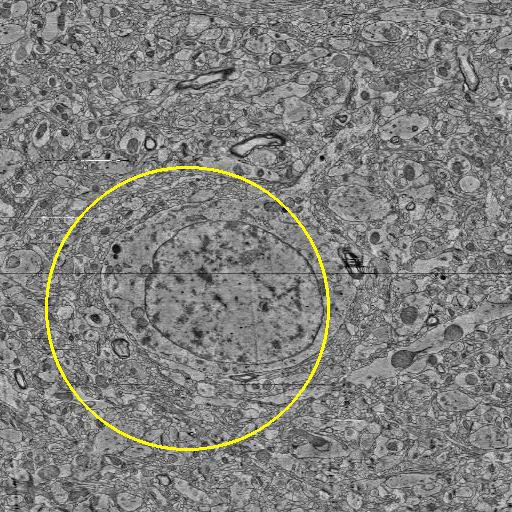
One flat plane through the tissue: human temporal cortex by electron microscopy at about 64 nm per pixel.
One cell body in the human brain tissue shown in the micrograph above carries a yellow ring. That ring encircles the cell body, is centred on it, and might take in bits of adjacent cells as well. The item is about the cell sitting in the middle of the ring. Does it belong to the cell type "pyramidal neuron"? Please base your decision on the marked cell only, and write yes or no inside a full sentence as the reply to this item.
Yes, the cell at the middle of the ring in the micrograph is of this kind.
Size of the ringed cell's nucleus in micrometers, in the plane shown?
In this plane, about 12 micrometres in length and 9 in width.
